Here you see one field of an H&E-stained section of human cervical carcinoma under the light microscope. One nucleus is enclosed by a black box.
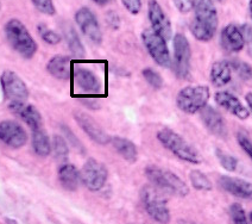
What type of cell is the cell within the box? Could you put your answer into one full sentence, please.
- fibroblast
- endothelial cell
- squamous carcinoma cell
Students should answer that the cell within the box is a squamous carcinoma cell.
